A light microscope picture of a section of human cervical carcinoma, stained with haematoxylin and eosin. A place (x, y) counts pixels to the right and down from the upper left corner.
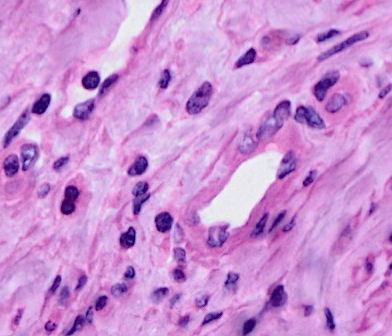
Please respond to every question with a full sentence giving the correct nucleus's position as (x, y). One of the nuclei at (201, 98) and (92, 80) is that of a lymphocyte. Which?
Of the two nuclei, the one sitting at (92, 80) belongs to a lymphocyte.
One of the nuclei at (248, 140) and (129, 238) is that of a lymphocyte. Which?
The nucleus at (129, 238) is housed in a lymphocyte.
